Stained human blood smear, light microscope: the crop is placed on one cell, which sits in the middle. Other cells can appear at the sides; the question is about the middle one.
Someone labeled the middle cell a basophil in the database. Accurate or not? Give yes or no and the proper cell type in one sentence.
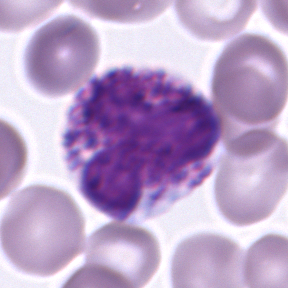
Yes, the central cell here is a basophil.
